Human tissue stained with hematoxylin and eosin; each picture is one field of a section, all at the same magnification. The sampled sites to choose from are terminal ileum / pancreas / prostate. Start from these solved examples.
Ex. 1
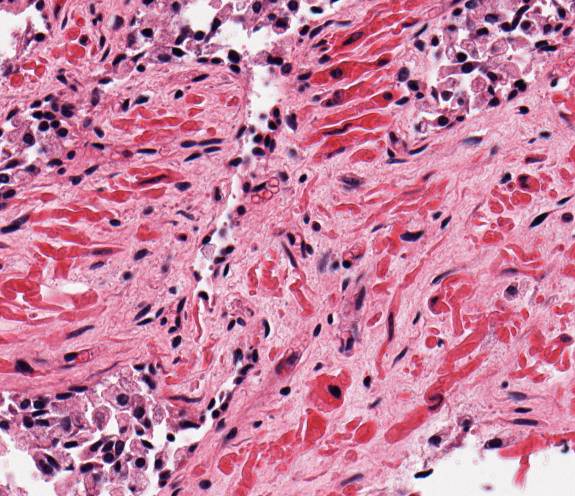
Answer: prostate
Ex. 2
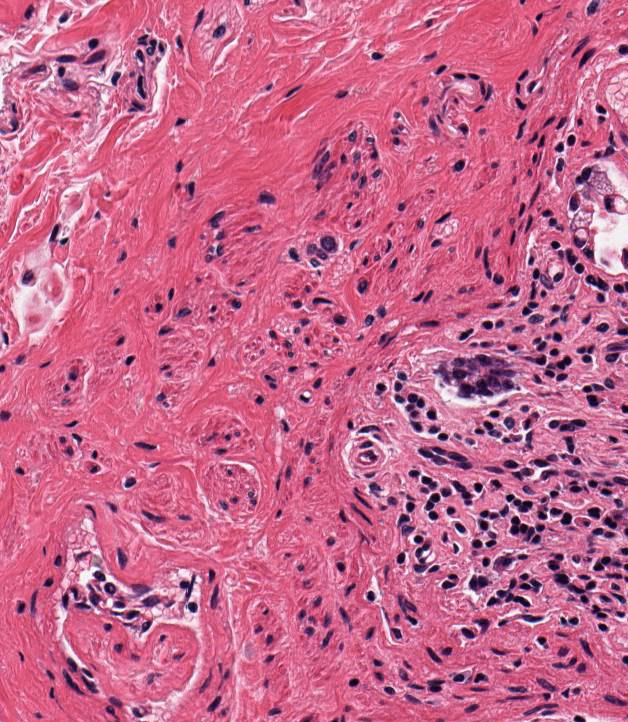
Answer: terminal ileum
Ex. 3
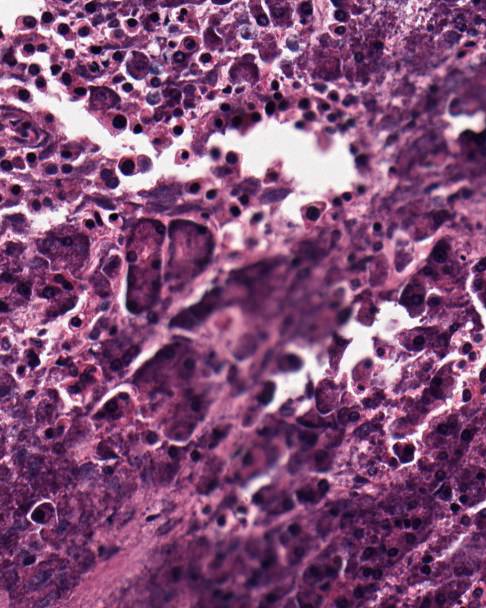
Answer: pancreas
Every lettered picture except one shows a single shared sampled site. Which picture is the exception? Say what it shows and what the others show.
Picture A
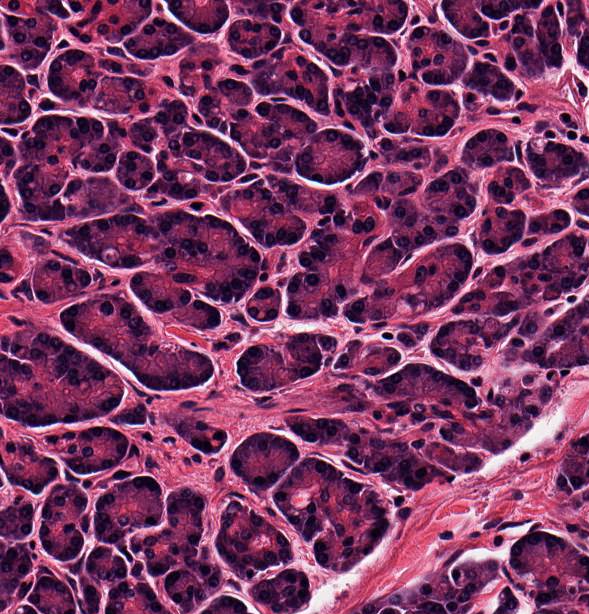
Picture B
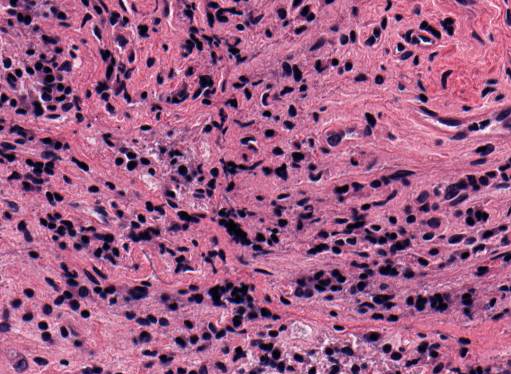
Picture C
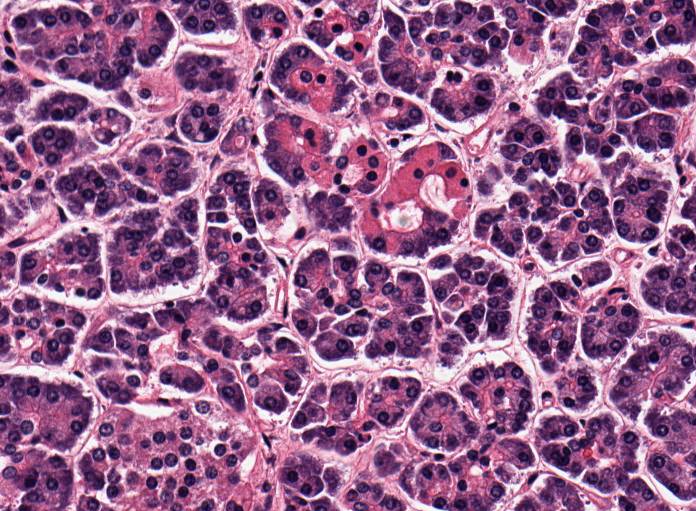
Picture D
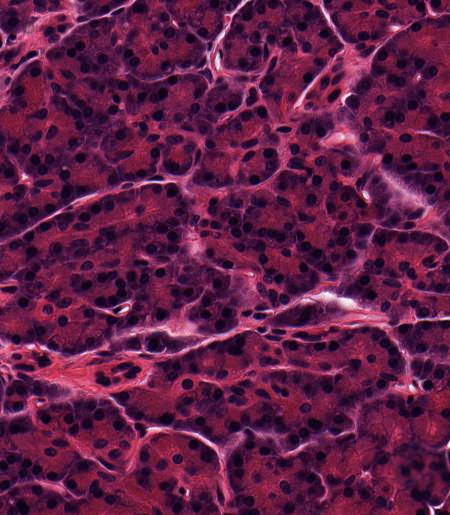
Exception: B, showing terminal ileum. Remaining pictures: pancreas.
